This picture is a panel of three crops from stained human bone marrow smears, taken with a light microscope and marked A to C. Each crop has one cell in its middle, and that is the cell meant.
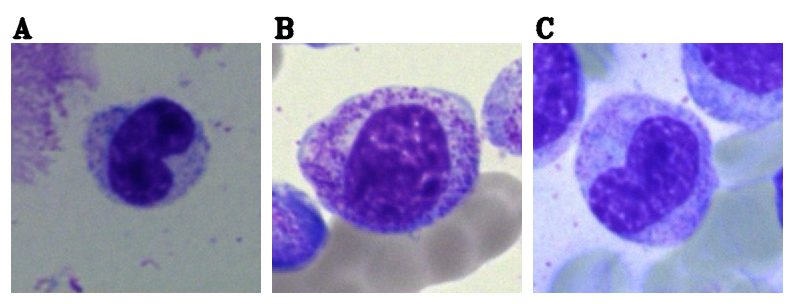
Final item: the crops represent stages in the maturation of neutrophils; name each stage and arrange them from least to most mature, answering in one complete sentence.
The order of increasing maturity among the crops is crop B (a myelocyte), crop C (a metamyelocyte) and crop A (a band neutrophil).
